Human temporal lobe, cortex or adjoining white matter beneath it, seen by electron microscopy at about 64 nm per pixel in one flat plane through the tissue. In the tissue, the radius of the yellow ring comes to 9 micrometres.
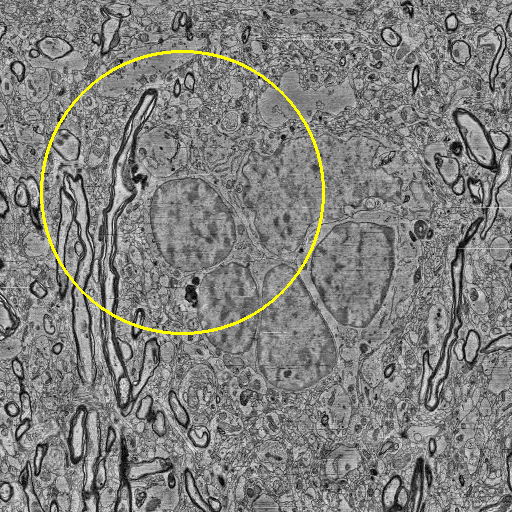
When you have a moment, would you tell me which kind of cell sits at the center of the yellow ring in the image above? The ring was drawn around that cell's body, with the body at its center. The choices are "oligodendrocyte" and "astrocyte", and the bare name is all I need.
oligodendrocyte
